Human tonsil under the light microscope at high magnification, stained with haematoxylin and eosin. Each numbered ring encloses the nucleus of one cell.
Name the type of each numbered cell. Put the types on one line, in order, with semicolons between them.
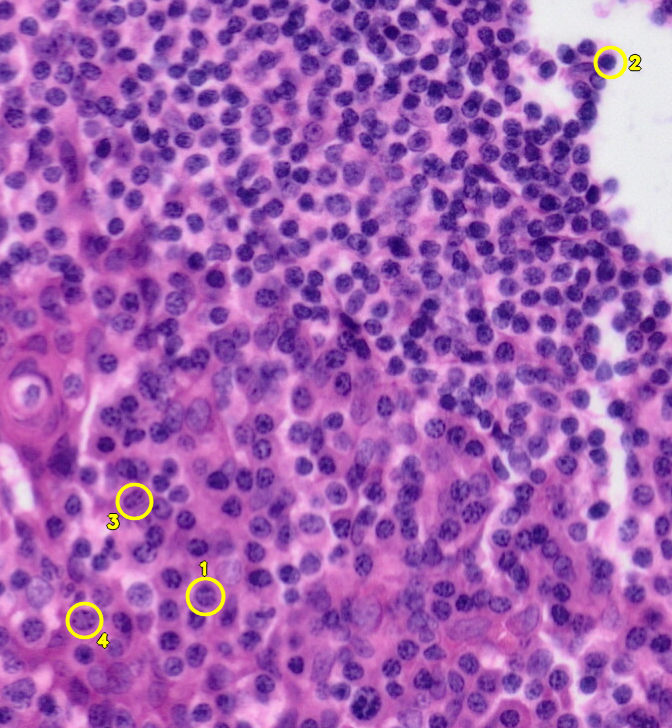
plasma cell; small lymphocyte; plasma cell; plasma cell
